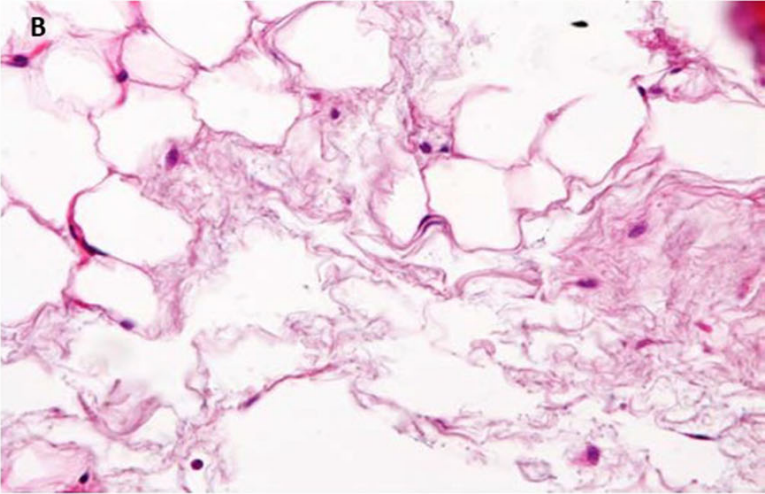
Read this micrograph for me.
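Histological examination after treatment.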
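At the left edge lies fat tissue, with rounded adipocytes whose clear interiors are outlined by thin pink rims. Toward the right and lower part, this regular pattern gives way to loose, wispy pink fibres. Between the fibres are open spaces. Scattered through the fibres are single dark purple nuclei, some small and dense. There are no dense clusters of small round cells of the kind that would mark inflammation. The tissue as a whole looks loosened and disrupted rather than crowded with cells.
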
